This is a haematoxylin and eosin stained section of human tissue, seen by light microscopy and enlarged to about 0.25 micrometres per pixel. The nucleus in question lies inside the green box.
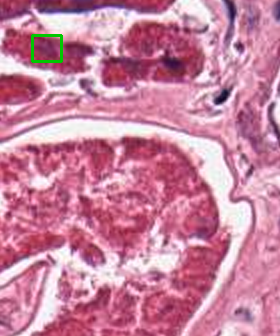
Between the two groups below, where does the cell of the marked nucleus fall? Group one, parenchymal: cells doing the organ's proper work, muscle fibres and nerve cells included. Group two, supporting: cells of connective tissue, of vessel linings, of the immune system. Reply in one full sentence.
The marked nucleus belongs to the parenchyma, being the nucleus of a proximal tubule cell.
